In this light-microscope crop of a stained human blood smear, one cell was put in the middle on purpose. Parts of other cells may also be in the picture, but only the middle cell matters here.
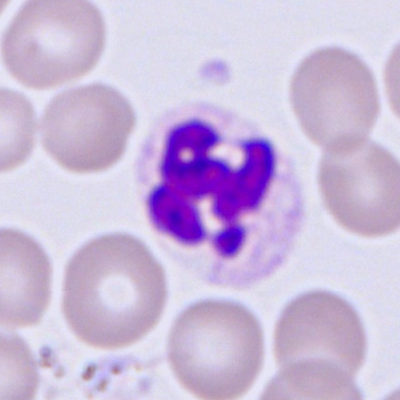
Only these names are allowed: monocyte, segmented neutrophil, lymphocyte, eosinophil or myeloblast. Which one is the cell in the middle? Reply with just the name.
segmented neutrophil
